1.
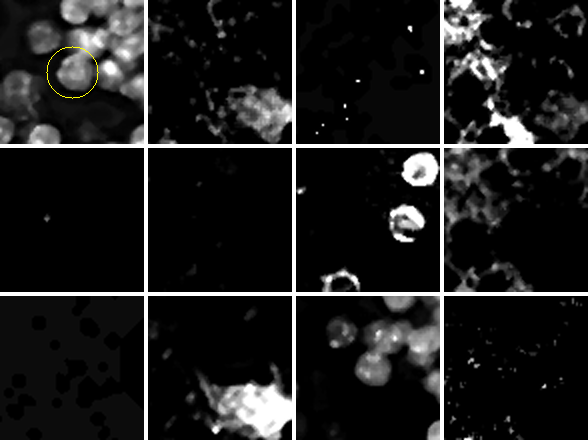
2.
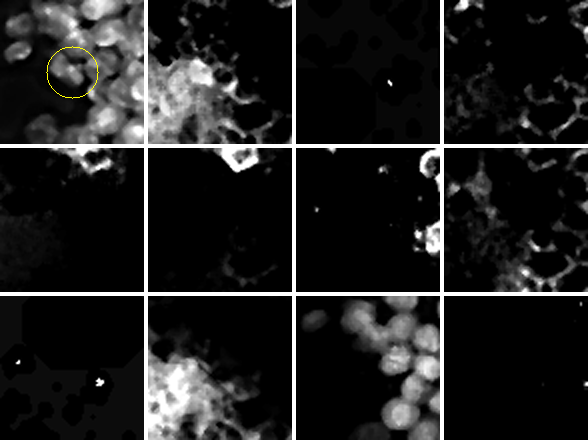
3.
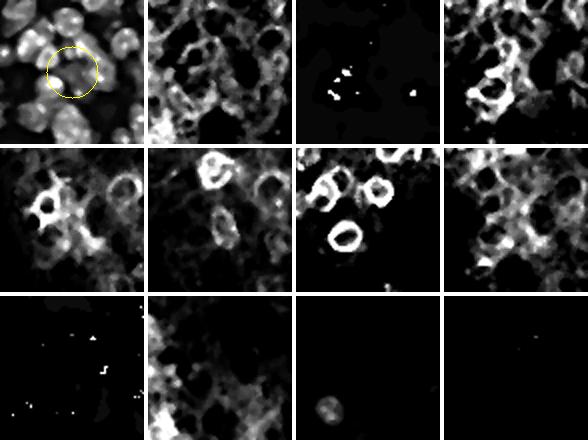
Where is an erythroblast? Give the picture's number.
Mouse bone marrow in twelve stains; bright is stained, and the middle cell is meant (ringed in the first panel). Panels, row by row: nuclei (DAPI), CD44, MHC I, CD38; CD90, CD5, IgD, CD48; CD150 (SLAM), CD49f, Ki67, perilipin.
1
